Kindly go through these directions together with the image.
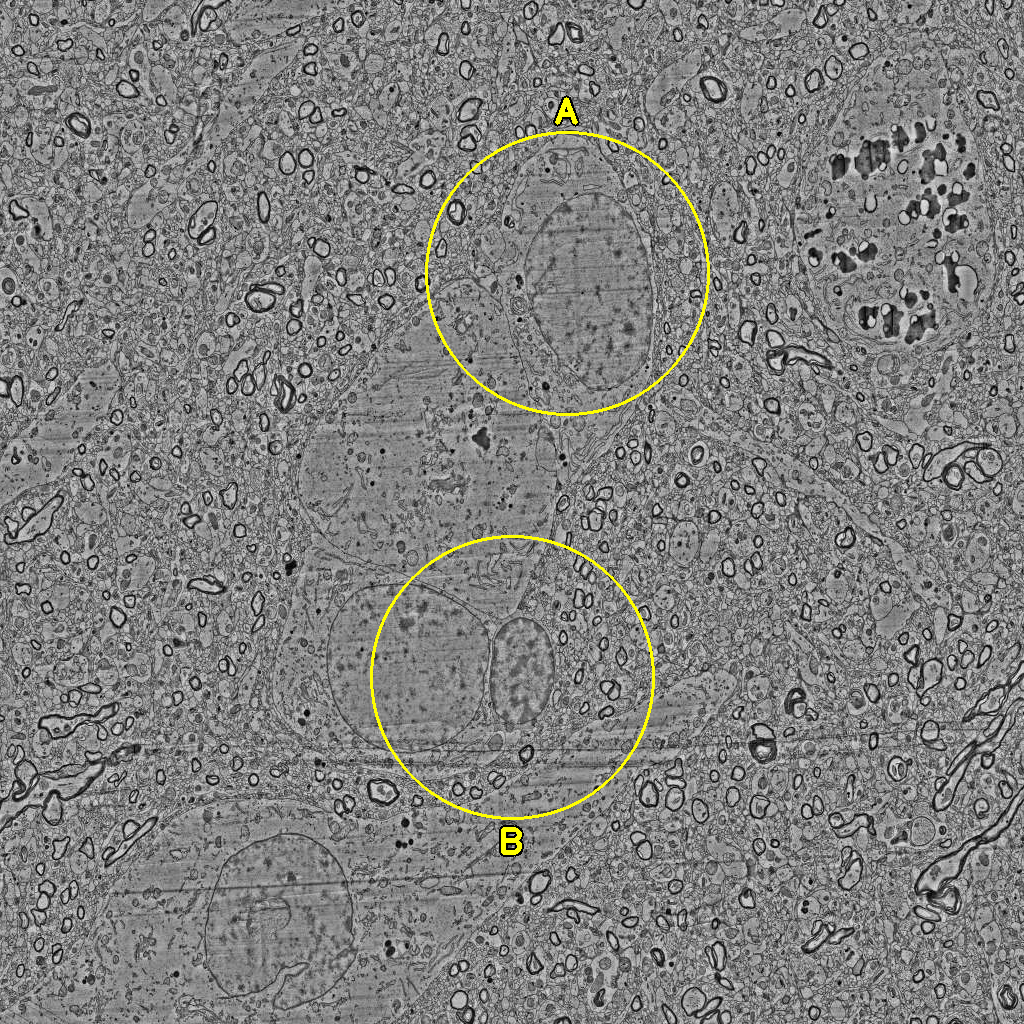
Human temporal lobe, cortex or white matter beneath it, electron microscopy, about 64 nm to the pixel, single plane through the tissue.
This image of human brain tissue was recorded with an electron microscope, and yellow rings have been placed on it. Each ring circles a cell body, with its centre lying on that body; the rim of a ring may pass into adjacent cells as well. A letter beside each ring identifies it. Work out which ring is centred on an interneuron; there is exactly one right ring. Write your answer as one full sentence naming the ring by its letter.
Ring A is the one whose centre lies on a cell of that kind.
